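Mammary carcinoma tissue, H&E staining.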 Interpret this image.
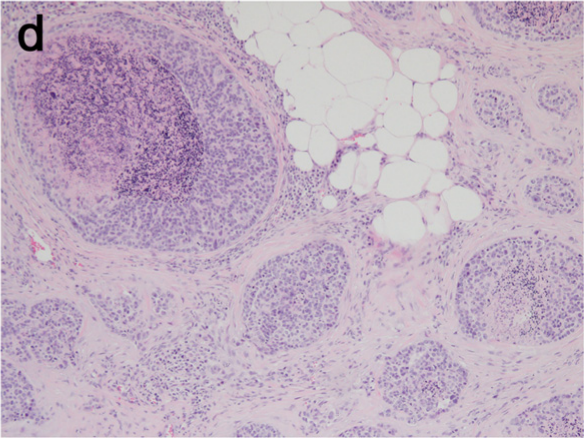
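Rounded nests of crowded neoplastic epithelial cells with dark basophilic nuclei lie within bands of pink fibrous stroma. The largest nest has a center filled with dark, granular nuclear fragments and pink debris, surrounded by a rim of intact tumor cells. Smaller nests nearby show a similar paler or fragmented center. A cluster of clear, empty adipocytes sits between the nests at the top.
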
